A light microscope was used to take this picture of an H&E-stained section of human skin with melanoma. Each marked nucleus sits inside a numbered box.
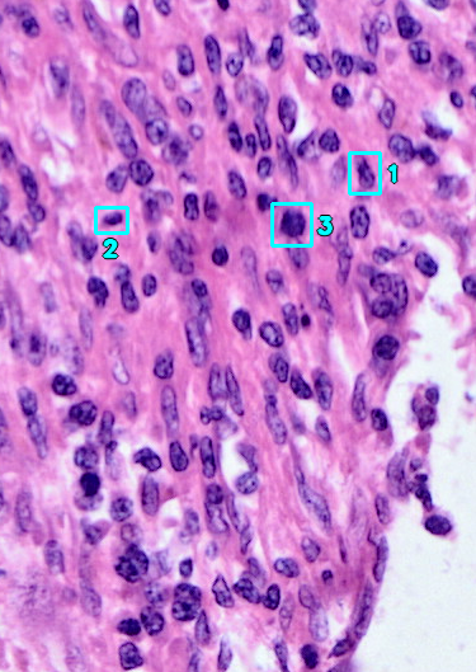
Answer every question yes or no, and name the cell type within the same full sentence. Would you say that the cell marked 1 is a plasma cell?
No, number 1 identifies a lymphocyte, not a plasma cell.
